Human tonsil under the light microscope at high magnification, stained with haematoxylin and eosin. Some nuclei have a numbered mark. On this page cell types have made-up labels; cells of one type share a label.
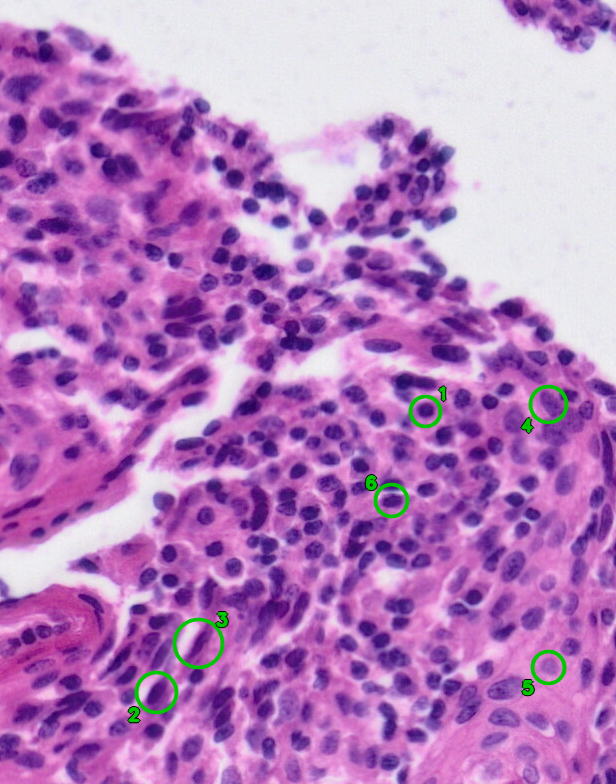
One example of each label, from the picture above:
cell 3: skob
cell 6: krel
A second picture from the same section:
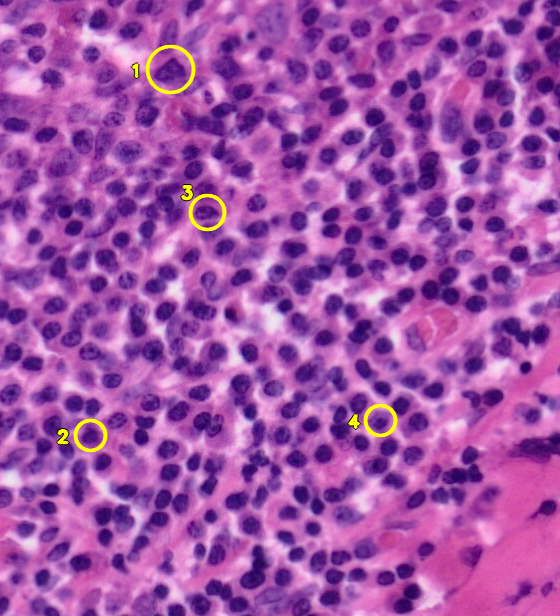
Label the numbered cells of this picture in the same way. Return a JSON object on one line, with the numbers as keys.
{"1": "skob", "2": "krel", "3": "krel", "4": "krel"}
